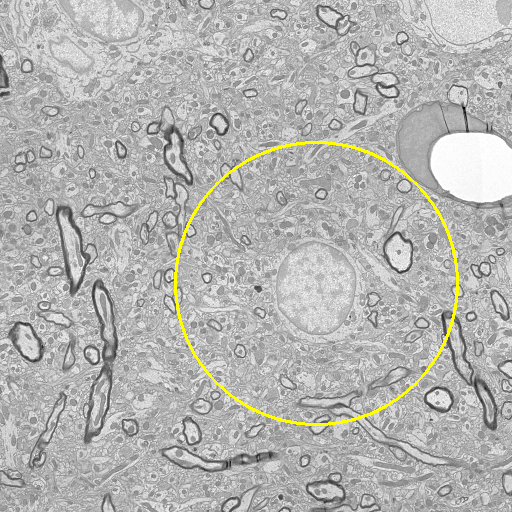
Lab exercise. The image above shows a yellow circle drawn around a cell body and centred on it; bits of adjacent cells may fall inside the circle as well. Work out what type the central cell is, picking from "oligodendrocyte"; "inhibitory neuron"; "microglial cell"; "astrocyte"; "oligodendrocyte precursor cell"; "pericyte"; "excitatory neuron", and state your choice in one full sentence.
In the image above, the cell at the centre of the yellow circle is an oligodendrocyte.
